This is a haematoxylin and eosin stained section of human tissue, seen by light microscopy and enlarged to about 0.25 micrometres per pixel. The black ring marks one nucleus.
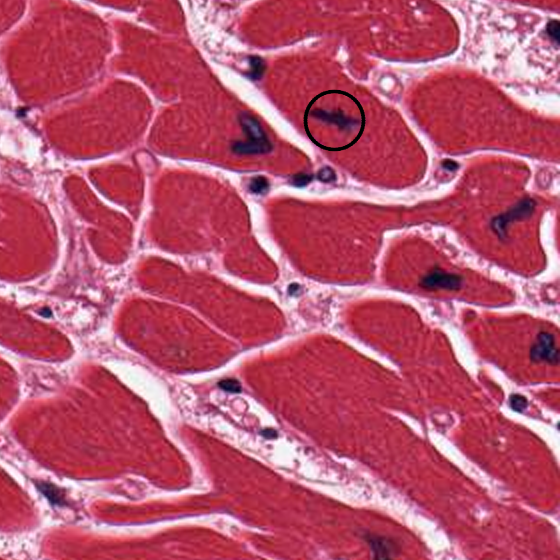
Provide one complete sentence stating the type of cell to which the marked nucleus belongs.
The nucleus singled out by the mark belongs to a cardiomyocyte.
